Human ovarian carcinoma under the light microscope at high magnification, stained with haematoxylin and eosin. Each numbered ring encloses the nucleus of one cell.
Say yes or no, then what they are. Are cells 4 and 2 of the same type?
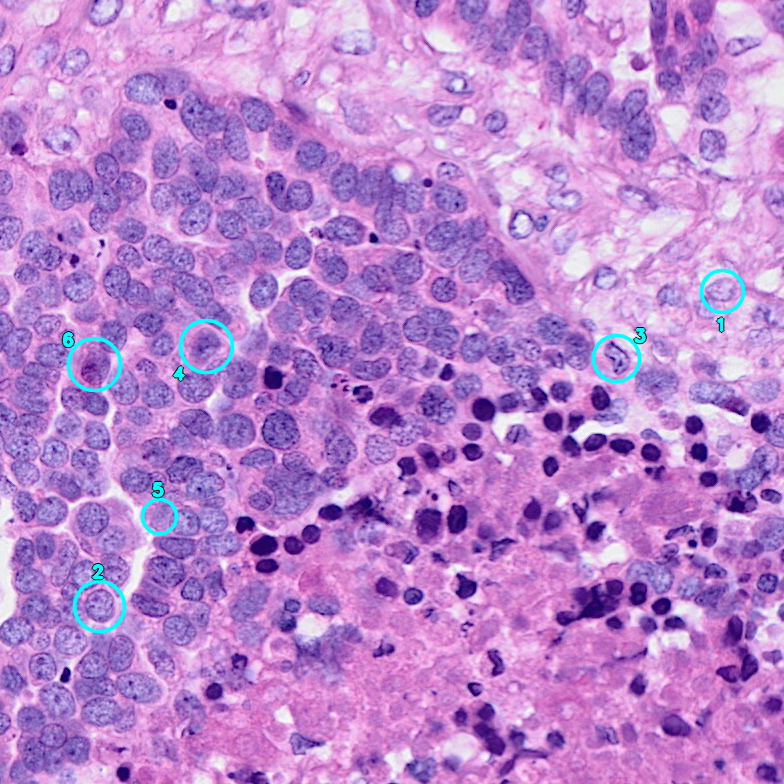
Yes, for cells 4 and 2 alike, the identity is that of carcinoma cells.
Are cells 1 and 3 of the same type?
No, cell 1 is a fibroblast and cell 3, for its part, is a macrophage or monocyte.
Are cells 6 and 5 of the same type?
Yes, both of cells 6 and 5 are carcinoma cells.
